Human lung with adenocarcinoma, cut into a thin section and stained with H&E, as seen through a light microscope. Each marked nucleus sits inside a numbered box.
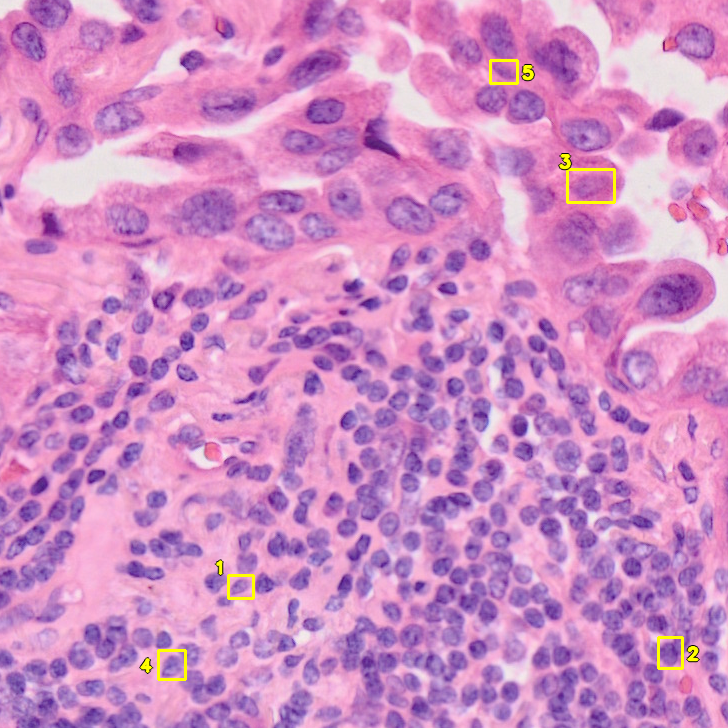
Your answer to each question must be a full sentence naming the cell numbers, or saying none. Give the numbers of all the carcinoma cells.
Cells 3 and 5 in the section are typed as carcinoma cells.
